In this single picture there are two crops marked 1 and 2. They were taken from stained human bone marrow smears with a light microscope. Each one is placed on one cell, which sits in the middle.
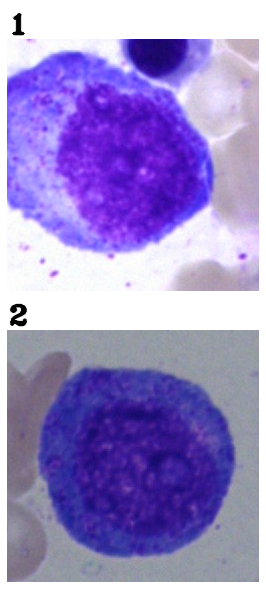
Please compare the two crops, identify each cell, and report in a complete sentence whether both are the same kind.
Yes, both crops here show promyelocytes, the pair of them.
